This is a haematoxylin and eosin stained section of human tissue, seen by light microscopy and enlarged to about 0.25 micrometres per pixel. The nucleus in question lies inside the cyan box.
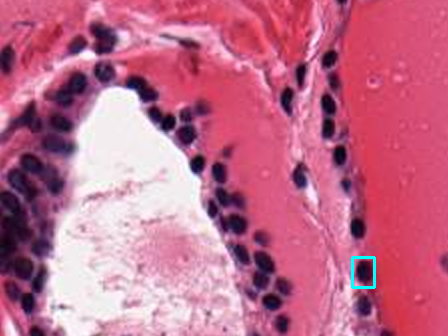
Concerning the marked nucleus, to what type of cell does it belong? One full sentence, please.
The nucleus with the mark belongs to a thyroid follicular cell.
